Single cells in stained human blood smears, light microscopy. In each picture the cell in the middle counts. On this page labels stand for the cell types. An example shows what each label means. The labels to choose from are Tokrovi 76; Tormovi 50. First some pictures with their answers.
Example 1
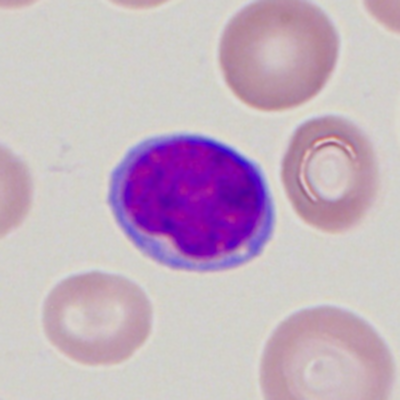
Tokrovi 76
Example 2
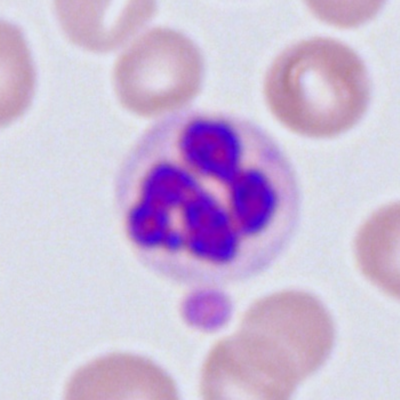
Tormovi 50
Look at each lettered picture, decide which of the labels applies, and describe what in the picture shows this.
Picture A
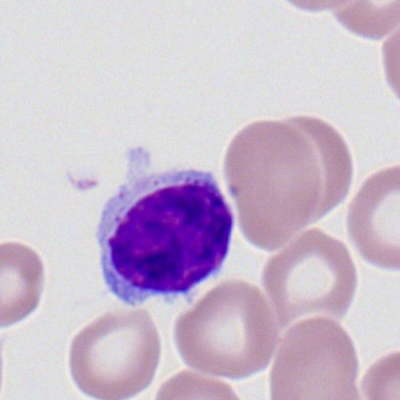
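Answer: Tokrovi 76. The nucleus fills most of the cell and sits toward its right side.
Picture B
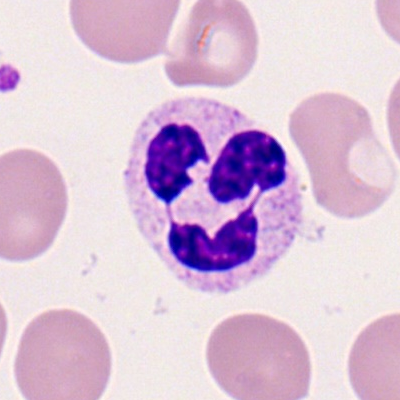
Answer: Tormovi 50. The cytoplasm is abundant and pale pinkish-lilac.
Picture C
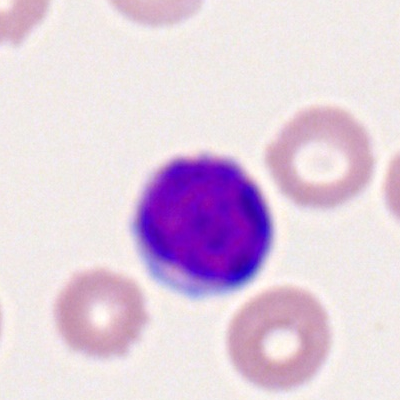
Answer: Tokrovi 76. The cytoplasm is only a thin rim.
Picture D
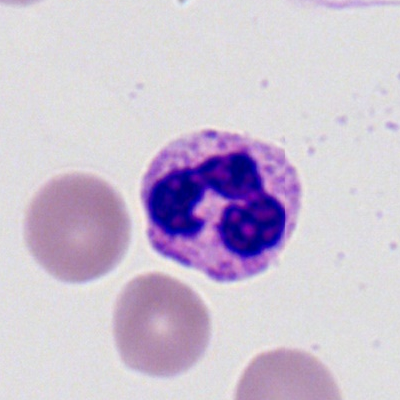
Answer: Tormovi 50. The nucleus is divided into three lobes.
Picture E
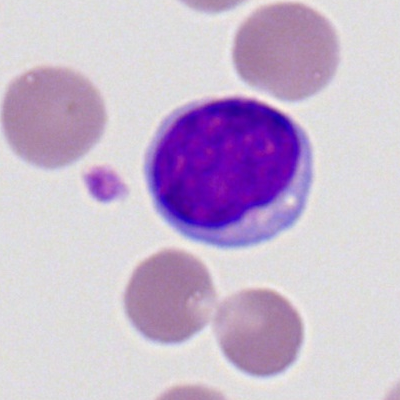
Answer: Tokrovi 76. The nucleus fills most of the cell.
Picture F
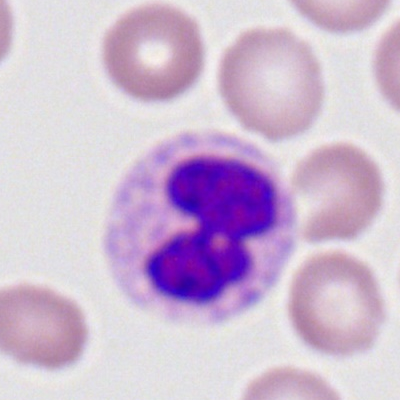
Answer: Tormovi 50. The nucleus has two lobes, one above the other.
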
